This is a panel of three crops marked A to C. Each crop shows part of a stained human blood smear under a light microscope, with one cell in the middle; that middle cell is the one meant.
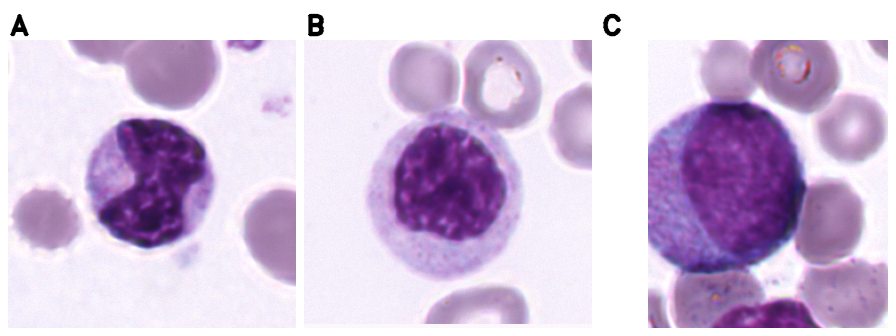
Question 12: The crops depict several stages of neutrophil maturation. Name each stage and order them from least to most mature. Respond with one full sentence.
From the least mature to the most mature, the order reads crop C (a promyelocyte), crop B (a metamyelocyte) and crop A (a band neutrophil).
